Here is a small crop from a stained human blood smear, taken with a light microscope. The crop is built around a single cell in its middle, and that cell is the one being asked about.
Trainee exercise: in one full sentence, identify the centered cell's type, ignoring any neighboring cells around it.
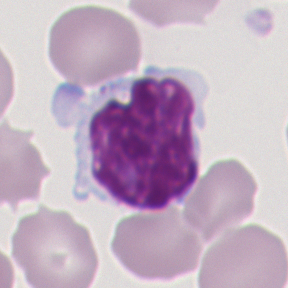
Where the crop is centred, there is a typical lymphocyte.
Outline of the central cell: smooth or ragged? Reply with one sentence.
It is the contour of the cell that is irregular, being ragged or projecting outward.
